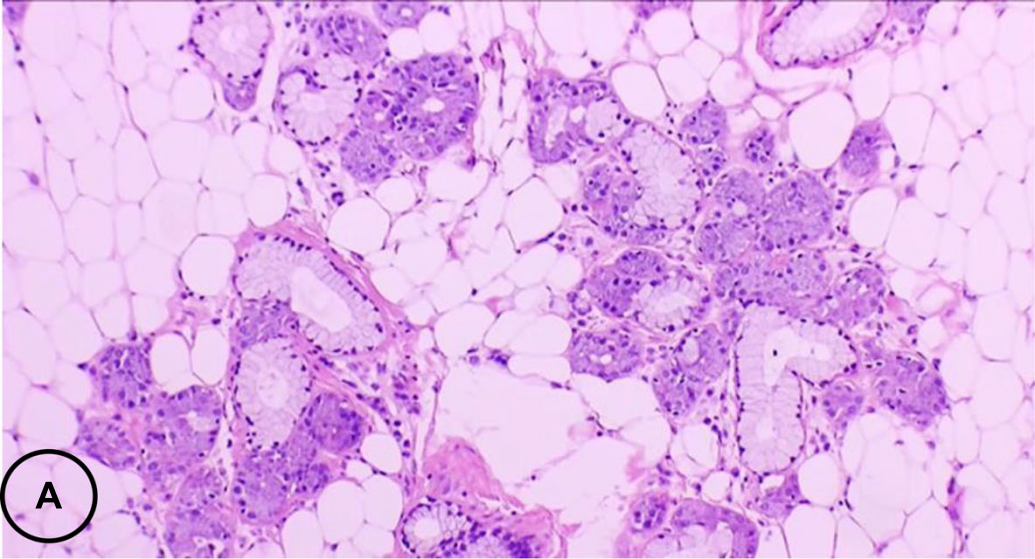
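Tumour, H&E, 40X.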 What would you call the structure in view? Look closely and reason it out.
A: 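Small rounded nests of epithelial cells lie scattered among the fat cells. Some nests are made of pale, foamy columnar cells arranged around a central lumen. Other nests are made of cells with granular purple cytoplasm and round nuclei. So: duct-acinar units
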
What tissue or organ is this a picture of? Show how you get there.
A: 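Large, empty, polygonal cells with thin pink borders fill much of the field. Few small flattened nuclei sit at the edges of the empty cells.
Mature adipose tissue.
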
